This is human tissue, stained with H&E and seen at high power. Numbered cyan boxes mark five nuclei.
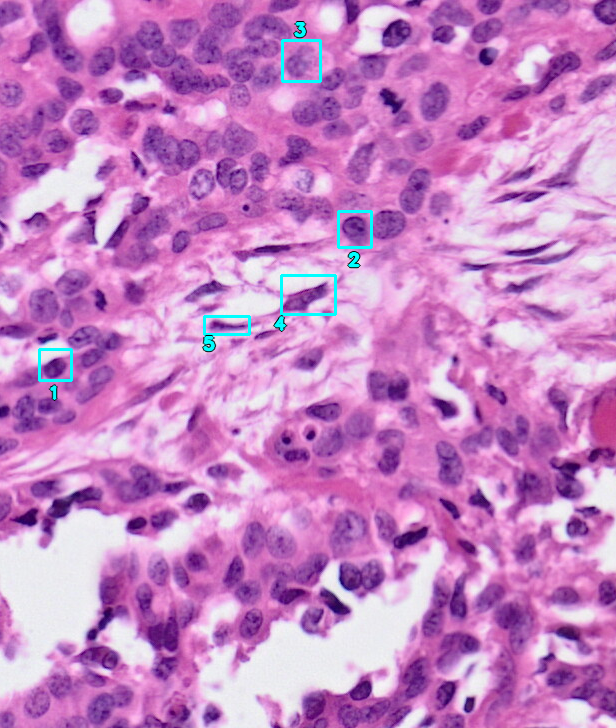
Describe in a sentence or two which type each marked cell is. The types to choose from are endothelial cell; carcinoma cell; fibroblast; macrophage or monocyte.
Cells 1, 2 and 3 are carcinoma cells. Cells 4 and 5 are fibroblasts.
